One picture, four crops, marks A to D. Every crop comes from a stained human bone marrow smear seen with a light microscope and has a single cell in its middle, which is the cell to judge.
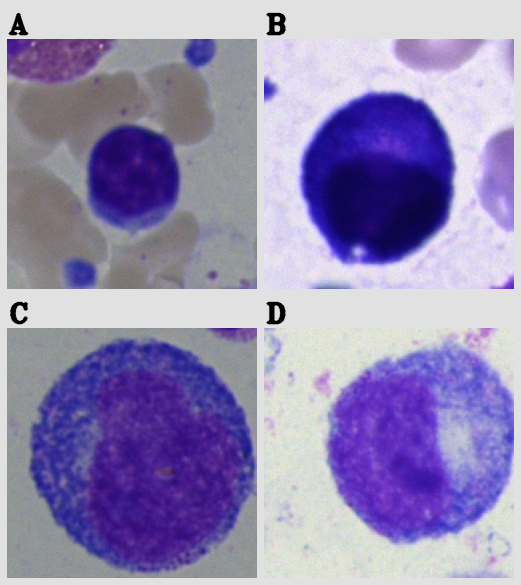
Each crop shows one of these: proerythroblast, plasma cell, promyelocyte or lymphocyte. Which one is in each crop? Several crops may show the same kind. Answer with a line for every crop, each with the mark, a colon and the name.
A: lymphocyte
B: plasma cell
C: promyelocyte
D: promyelocyte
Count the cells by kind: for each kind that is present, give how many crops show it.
promyelocyte: 2
lymphocyte: 1
plasma cell: 1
